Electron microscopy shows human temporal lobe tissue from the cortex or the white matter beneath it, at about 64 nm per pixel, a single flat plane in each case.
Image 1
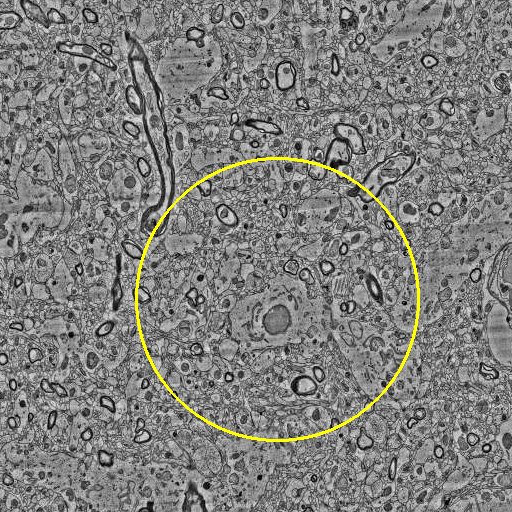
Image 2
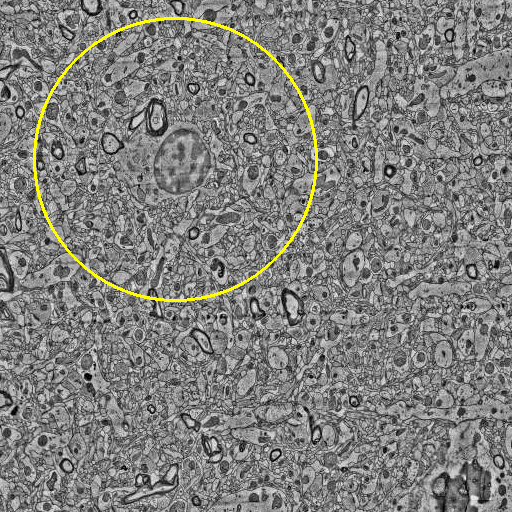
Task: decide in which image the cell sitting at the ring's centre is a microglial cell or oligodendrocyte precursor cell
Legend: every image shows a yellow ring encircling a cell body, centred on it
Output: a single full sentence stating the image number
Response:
In image 1, the cell at the middle of the ring is the match.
